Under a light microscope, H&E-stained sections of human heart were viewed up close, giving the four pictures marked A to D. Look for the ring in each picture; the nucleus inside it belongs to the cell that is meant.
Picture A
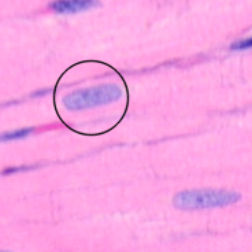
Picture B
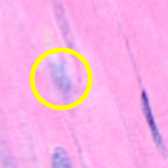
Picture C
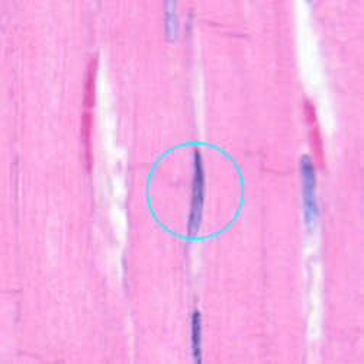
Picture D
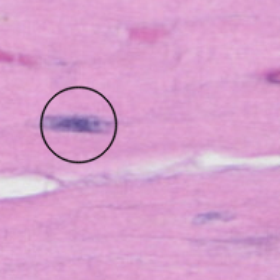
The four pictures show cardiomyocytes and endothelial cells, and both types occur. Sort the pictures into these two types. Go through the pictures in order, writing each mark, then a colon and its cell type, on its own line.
A: cardiomyocyte
B: cardiomyocyte
C: endothelial cell
D: endothelial cell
